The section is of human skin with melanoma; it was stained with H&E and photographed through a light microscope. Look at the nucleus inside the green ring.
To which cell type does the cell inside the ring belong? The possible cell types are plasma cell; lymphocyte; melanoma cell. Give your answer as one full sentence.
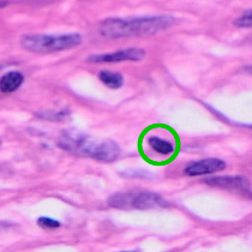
So far as cell type goes, the cell inside the ring is a lymphocyte.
